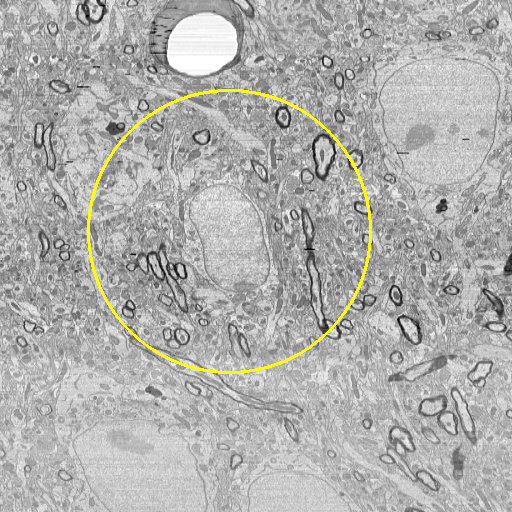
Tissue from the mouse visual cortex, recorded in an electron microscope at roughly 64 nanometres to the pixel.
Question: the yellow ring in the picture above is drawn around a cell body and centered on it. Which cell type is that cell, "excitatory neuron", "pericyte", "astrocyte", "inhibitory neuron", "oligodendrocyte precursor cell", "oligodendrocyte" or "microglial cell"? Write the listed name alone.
astrocyte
